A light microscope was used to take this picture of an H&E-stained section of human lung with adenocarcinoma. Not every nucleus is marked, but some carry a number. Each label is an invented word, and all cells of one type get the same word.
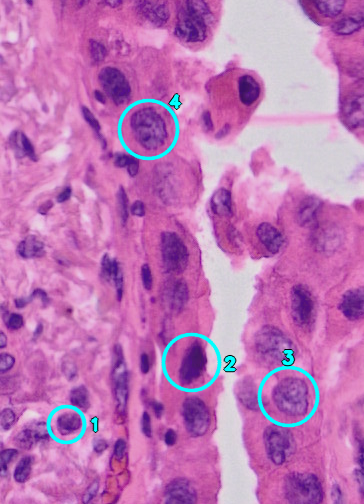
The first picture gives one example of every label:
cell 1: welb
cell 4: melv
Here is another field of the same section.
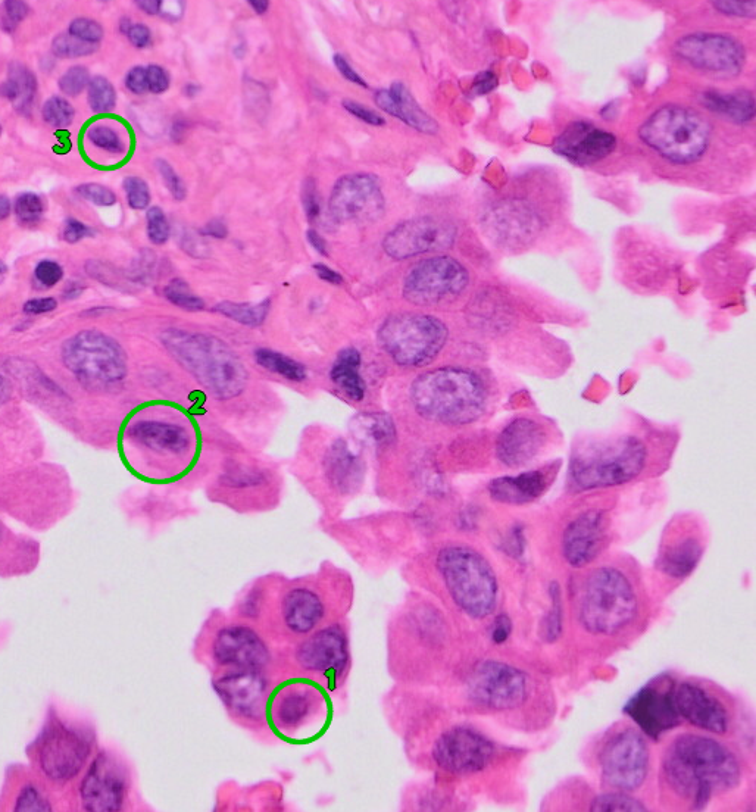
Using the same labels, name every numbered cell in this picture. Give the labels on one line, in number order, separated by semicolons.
melv; melv; welb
